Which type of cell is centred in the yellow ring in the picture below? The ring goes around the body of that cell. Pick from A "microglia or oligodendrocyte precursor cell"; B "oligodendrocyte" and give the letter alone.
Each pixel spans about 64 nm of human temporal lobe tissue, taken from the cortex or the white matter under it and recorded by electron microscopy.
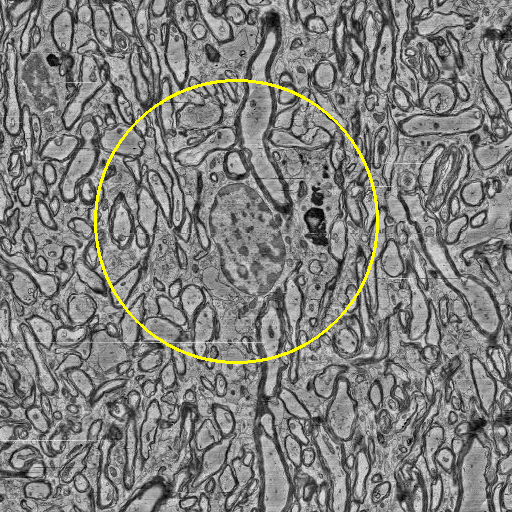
A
